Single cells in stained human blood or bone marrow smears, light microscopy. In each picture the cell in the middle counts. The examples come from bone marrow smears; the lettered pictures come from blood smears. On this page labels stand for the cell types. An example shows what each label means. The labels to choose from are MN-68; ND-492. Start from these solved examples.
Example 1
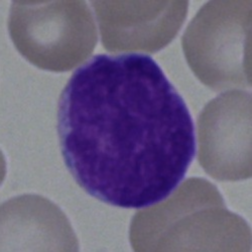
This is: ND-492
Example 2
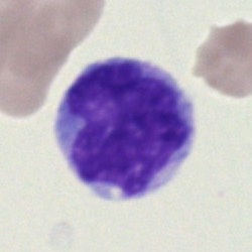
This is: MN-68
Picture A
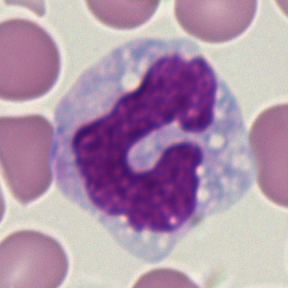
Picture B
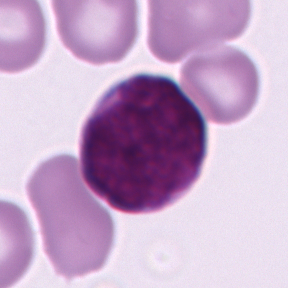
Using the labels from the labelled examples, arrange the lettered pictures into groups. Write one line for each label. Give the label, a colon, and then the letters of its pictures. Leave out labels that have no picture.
MN-68: A
ND-492: B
